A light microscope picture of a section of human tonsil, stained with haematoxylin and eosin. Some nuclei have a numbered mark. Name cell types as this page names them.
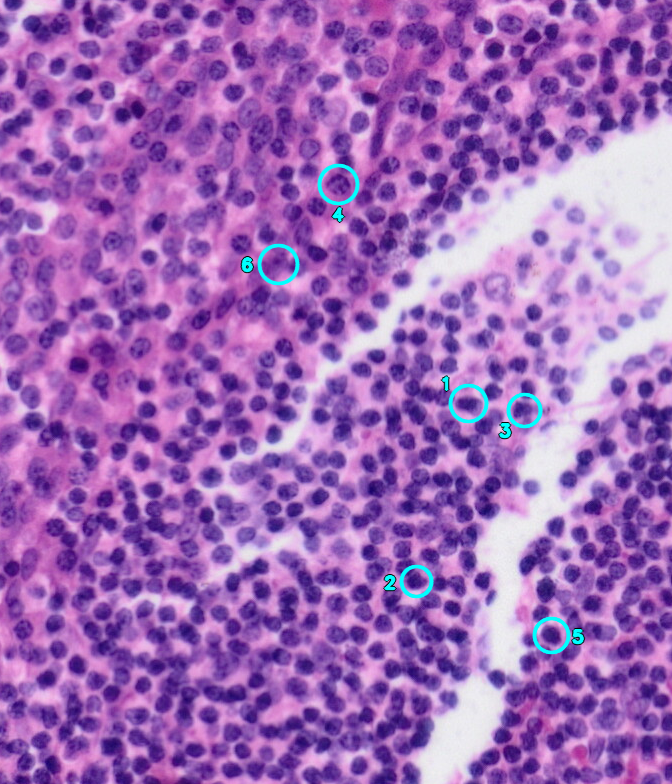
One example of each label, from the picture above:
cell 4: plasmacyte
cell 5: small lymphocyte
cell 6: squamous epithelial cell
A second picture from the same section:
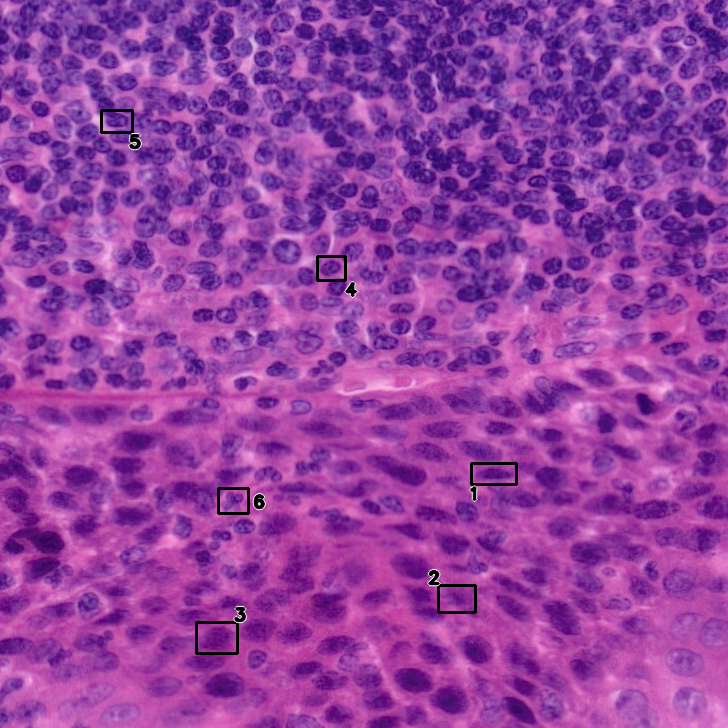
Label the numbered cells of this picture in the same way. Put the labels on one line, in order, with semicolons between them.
squamous epithelial cell; squamous epithelial cell; squamous epithelial cell; plasmacyte; small lymphocyte; squamous epithelial cell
